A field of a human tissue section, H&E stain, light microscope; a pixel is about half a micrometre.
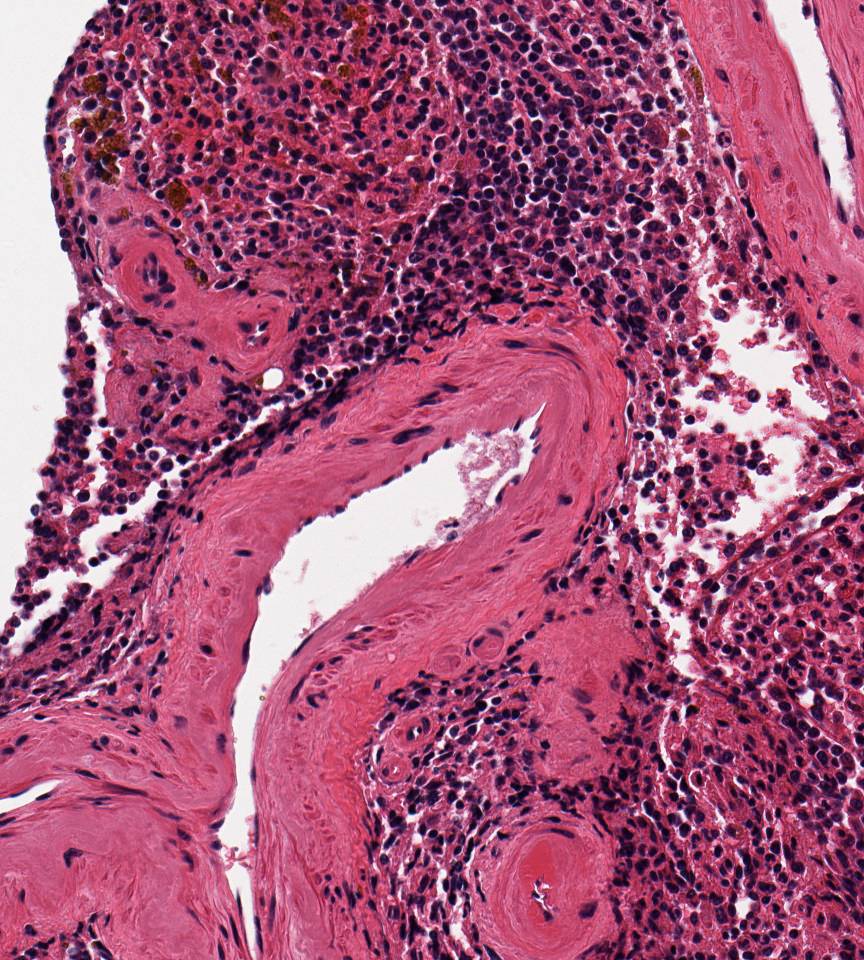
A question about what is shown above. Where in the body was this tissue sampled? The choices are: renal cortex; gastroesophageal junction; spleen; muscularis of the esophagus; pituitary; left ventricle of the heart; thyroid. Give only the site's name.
spleen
